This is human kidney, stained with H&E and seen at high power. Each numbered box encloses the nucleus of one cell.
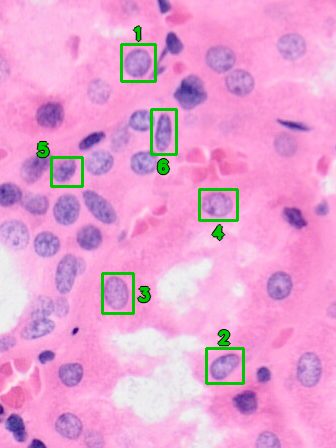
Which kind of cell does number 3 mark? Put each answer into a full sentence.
Heads up, the cell numbered 3 is a proximal tubule cell.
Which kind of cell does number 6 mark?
Nucleus 6 in this section belongs to a collecting duct cell.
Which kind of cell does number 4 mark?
The marked nucleus 4 is that of a proximal tubule cell.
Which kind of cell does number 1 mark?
The identity of cell 1 is that of a proximal tubule cell.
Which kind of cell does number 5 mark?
The cell that goes by number 5 is a collecting duct cell.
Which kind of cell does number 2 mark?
Numbered cell 2 is a proximal tubule cell in this tissue section.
